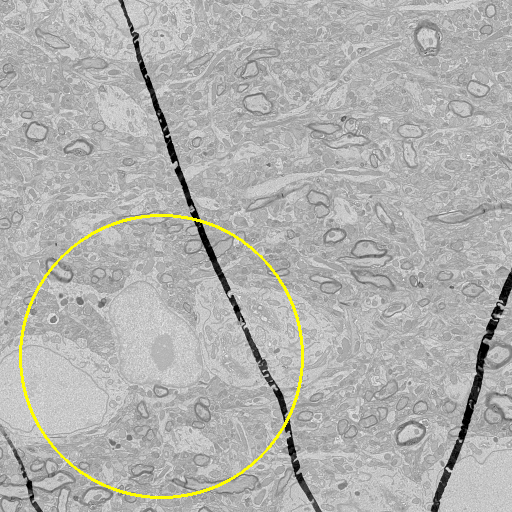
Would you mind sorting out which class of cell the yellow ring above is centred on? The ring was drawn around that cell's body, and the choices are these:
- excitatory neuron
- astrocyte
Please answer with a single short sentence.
This is the cell body of an astrocyte.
